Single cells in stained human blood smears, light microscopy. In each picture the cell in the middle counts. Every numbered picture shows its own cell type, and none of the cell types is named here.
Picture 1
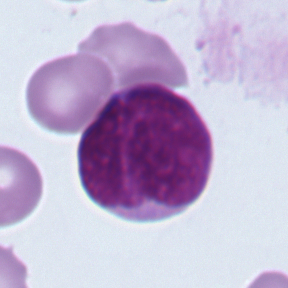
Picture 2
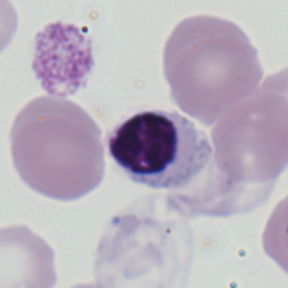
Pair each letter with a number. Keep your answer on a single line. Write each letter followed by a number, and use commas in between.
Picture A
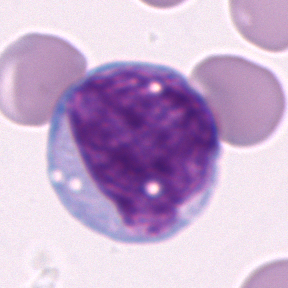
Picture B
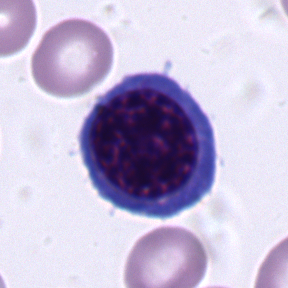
A 1, B 2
